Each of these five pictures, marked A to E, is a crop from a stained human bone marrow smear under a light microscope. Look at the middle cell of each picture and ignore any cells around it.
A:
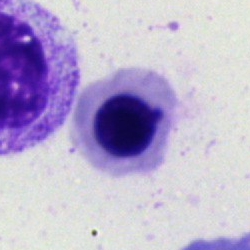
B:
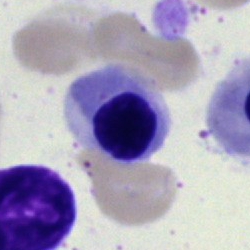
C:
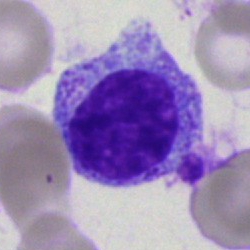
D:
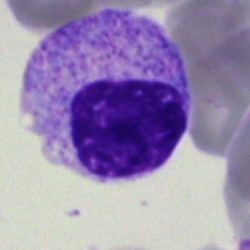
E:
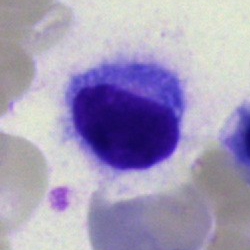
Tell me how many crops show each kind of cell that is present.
erythroblast: 2
myelocyte: 2
hairy cell: 1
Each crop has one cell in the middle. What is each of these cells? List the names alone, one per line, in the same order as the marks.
erythroblast
erythroblast
myelocyte
myelocyte
hairy cell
